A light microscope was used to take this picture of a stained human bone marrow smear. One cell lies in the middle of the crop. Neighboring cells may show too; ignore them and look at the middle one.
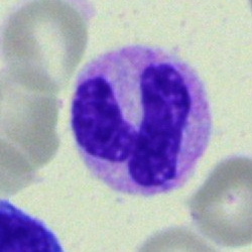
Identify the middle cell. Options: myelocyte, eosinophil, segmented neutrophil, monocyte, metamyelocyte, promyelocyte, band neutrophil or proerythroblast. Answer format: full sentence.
The crop shows a band neutrophil in its centre.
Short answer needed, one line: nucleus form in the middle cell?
Two or more lobes make up the nucleus of this cell.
